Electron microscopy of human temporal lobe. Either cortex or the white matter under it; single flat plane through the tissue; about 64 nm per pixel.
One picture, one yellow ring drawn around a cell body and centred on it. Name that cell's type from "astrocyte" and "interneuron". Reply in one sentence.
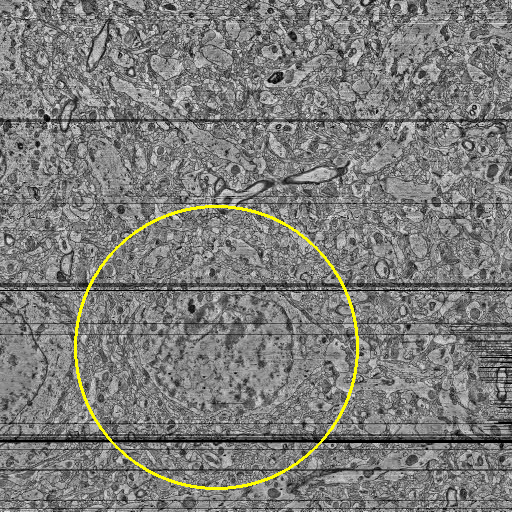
Centred in the ring is an interneuron.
